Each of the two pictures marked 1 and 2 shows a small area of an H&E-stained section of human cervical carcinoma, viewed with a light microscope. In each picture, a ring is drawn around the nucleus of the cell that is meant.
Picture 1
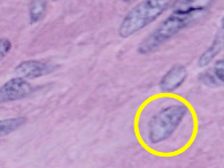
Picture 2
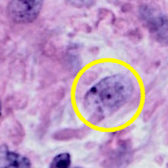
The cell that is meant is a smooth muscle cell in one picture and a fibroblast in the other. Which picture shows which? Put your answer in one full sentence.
Picture 1 shows a smooth muscle cell and picture 2 shows a fibroblast.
